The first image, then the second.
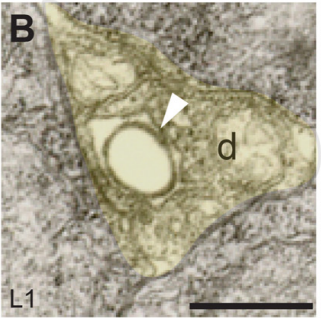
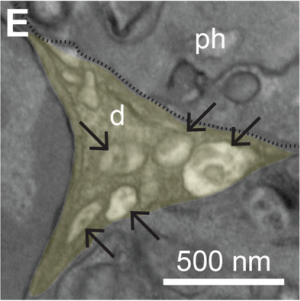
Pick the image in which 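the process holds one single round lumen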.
The first image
